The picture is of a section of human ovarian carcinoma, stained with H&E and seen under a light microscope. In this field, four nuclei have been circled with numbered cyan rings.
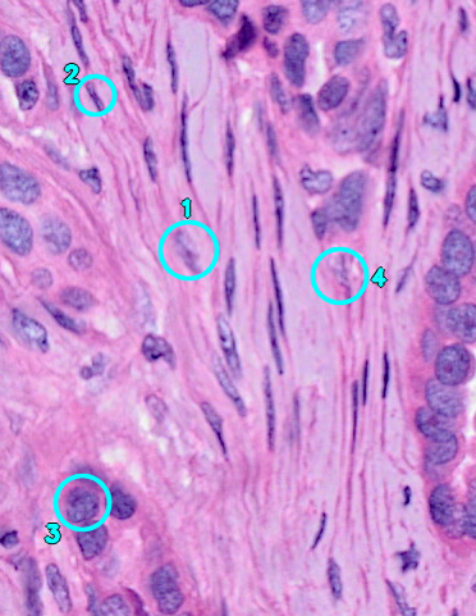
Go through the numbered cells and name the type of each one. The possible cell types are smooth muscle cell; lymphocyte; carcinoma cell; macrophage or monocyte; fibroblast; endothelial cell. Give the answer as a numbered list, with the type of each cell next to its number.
1. fibroblast
2. fibroblast
3. carcinoma cell
4. fibroblast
